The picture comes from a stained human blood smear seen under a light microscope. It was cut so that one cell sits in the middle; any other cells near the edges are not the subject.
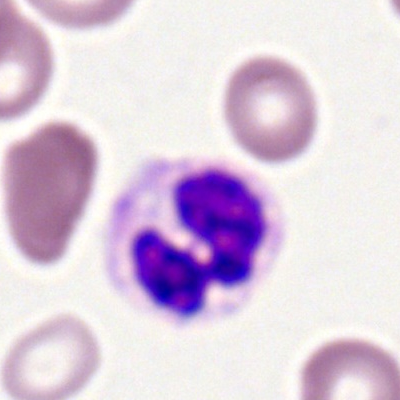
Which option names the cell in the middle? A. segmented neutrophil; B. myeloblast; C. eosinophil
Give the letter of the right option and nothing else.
A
